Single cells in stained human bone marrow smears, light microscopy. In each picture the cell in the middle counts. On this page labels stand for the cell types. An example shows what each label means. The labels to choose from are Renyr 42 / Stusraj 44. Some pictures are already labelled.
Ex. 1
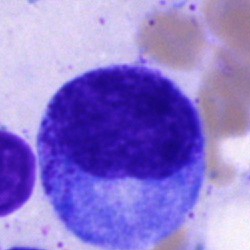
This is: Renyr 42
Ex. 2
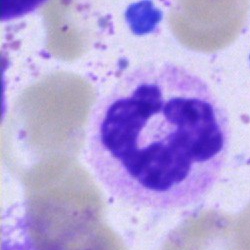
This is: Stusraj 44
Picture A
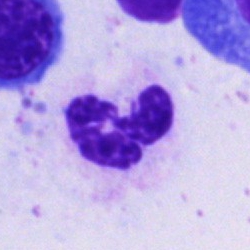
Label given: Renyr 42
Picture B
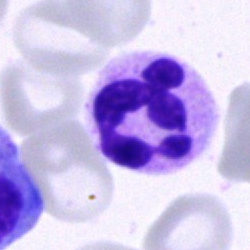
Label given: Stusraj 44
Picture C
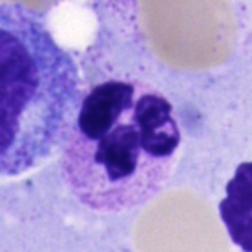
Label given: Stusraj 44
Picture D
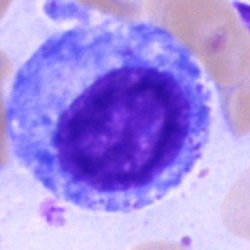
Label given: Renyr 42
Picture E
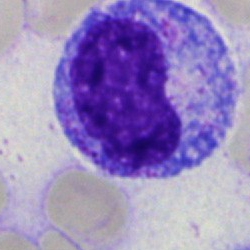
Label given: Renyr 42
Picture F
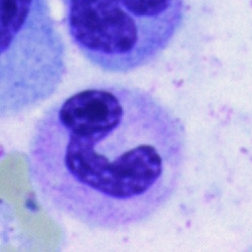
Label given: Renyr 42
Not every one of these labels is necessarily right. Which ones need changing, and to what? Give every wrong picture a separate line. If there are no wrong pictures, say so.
A: change Renyr 42 to Stusraj 44
F: change Renyr 42 to Stusraj 44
